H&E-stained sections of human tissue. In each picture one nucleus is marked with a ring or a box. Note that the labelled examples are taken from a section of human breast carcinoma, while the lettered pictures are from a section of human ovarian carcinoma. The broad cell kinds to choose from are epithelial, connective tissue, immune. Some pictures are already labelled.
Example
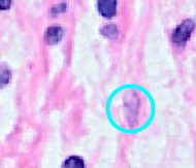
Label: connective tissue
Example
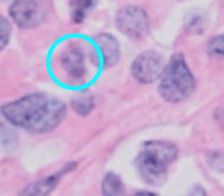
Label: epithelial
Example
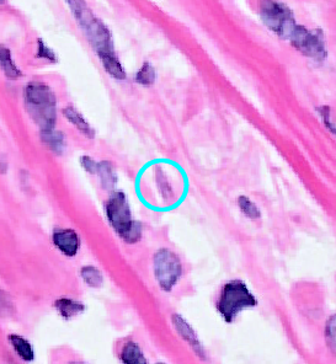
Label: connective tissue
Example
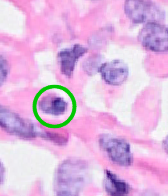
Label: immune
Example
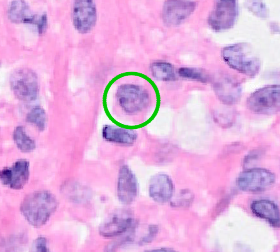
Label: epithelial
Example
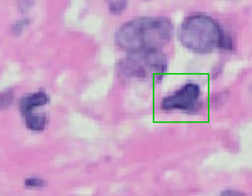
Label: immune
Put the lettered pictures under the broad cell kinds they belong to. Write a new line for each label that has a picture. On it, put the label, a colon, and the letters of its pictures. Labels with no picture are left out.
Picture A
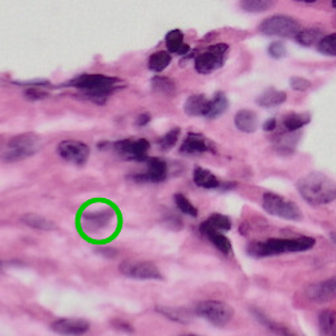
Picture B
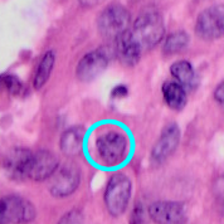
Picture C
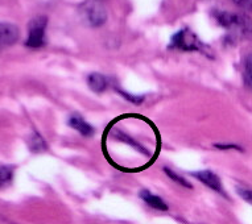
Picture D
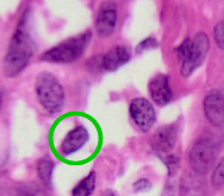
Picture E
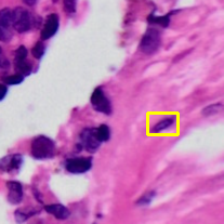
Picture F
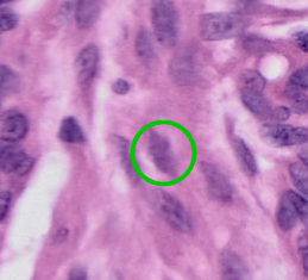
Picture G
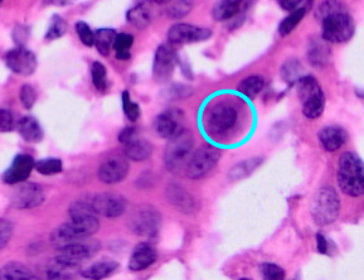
epithelial: D, G
connective tissue: A, C, E, F
immune: B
